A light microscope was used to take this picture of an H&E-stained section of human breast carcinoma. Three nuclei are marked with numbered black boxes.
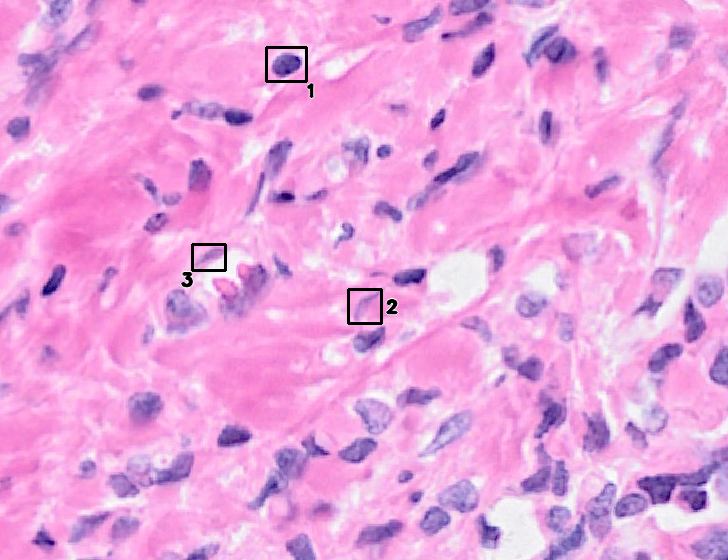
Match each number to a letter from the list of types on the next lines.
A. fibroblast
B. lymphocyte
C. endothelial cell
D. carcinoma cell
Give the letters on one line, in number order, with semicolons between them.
B; A; C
